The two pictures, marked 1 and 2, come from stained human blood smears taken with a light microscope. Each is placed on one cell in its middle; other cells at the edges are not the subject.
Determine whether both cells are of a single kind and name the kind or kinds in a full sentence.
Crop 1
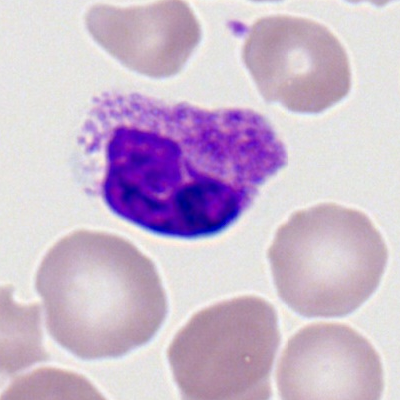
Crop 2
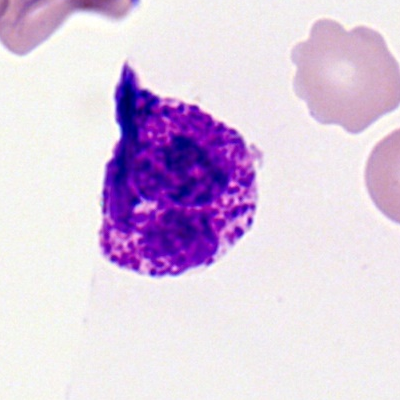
Yes, the middle cells in the two crops are basophils.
